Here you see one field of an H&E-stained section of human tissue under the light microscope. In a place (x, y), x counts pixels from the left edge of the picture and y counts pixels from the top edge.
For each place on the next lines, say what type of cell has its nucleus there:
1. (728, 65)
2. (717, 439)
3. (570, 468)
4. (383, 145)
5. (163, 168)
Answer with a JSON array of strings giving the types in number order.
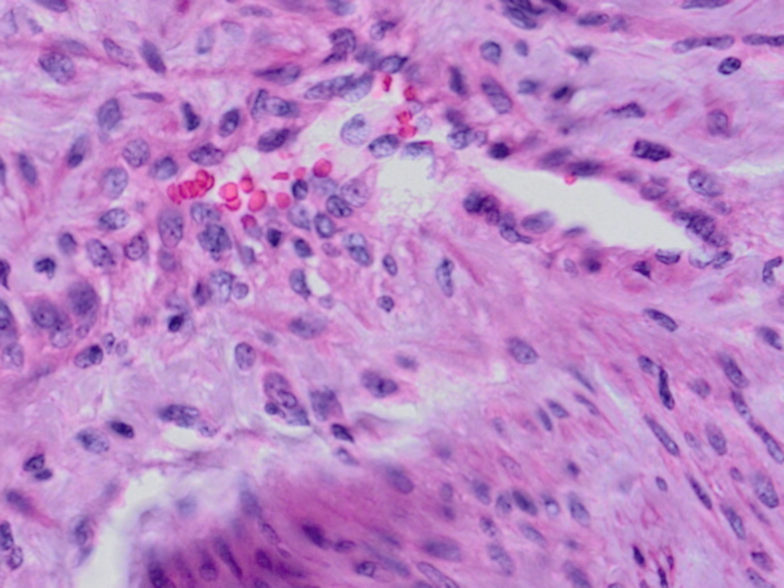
["lymphocyte", "smooth muscle cell", "smooth muscle cell", "endothelial cell", "endothelial cell"]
